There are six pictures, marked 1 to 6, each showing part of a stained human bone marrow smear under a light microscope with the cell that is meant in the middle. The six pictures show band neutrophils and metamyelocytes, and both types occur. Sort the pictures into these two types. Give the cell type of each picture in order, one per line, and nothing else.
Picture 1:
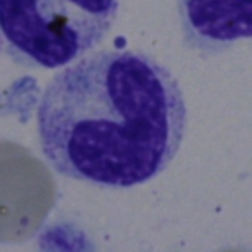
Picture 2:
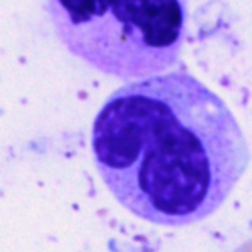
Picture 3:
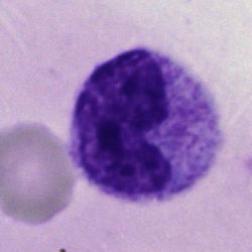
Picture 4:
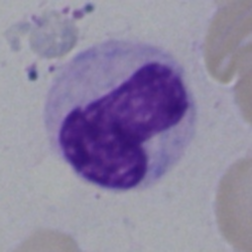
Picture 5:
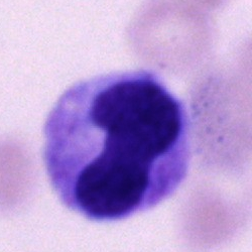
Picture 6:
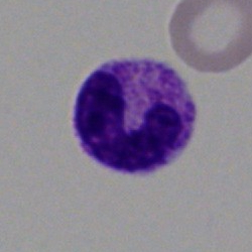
band neutrophil
metamyelocyte
metamyelocyte
metamyelocyte
band neutrophil
band neutrophil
